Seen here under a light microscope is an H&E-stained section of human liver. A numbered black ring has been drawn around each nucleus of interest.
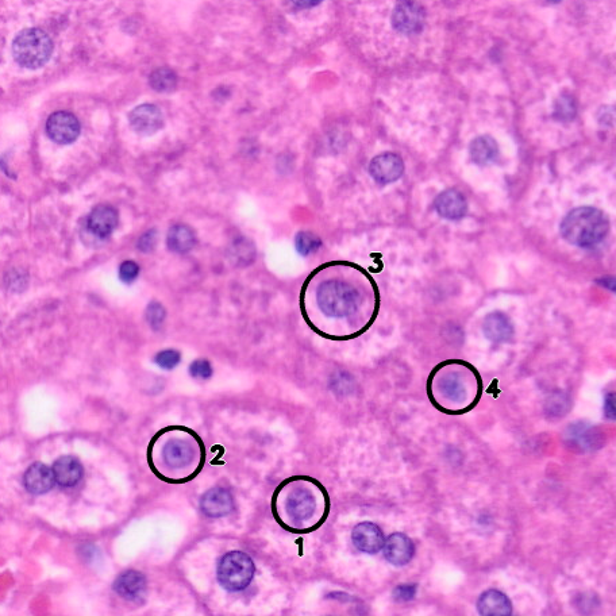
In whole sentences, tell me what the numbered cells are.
Cell 1 is a hepatocyte, cell 2 is a hepatocyte, cell 3 is a hepatocyte and cell 4 is an endothelial cell.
